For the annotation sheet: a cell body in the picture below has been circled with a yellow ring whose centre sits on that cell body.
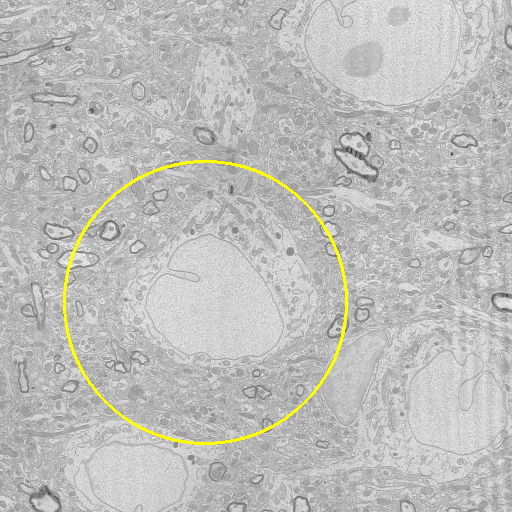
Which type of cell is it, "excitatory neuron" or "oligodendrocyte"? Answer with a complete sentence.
The circled cell is an excitatory neuron.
